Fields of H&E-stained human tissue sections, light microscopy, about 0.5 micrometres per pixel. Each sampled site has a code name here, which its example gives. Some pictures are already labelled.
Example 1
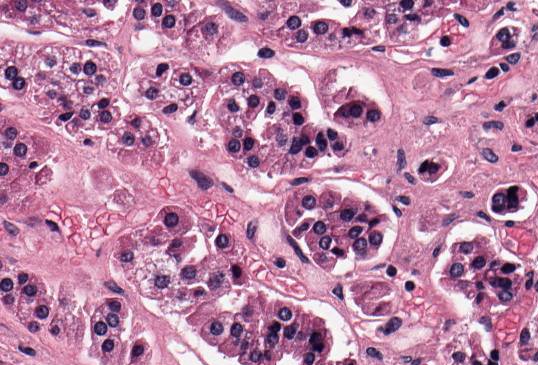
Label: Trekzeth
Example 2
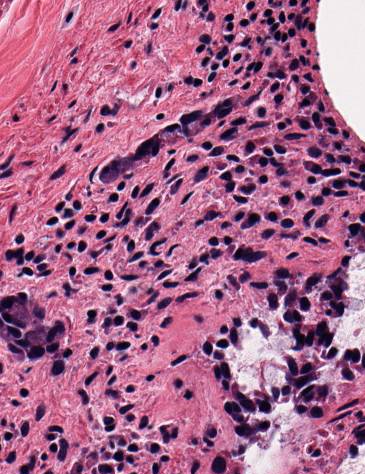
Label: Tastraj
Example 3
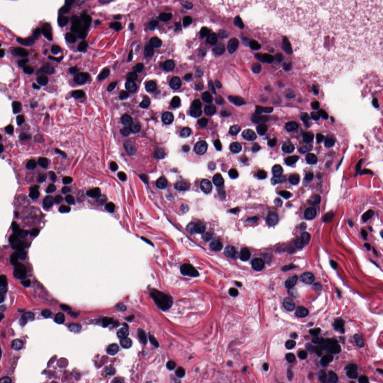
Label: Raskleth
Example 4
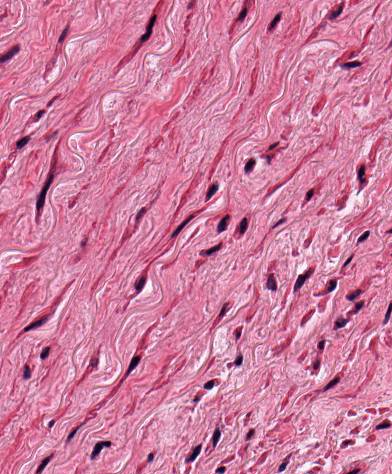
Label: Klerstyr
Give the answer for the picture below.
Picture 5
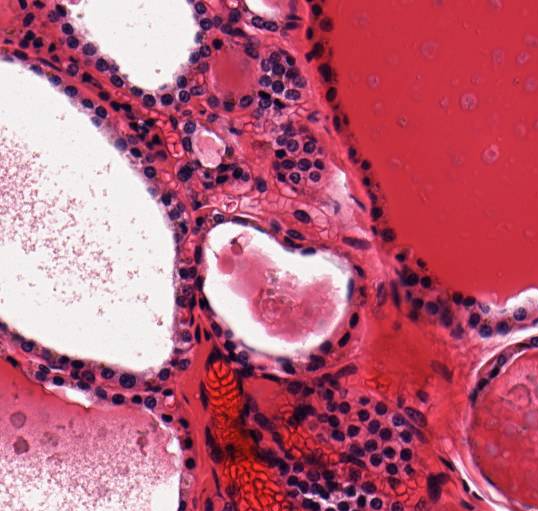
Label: Raskleth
